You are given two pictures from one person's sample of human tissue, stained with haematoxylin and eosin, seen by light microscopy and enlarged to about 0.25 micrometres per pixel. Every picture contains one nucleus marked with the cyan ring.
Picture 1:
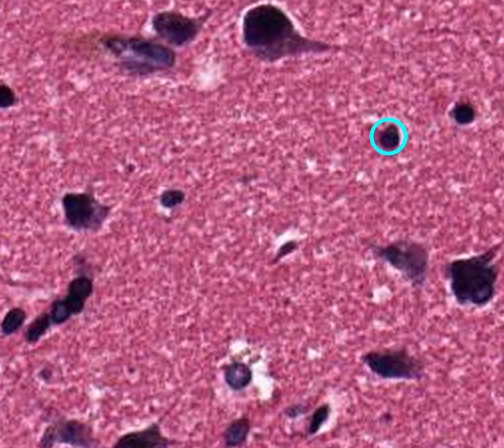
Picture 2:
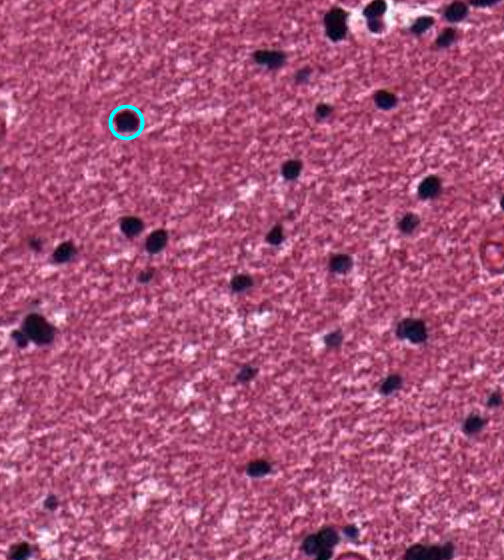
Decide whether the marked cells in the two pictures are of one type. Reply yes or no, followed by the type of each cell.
Yes, both are oligodendrocytes.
